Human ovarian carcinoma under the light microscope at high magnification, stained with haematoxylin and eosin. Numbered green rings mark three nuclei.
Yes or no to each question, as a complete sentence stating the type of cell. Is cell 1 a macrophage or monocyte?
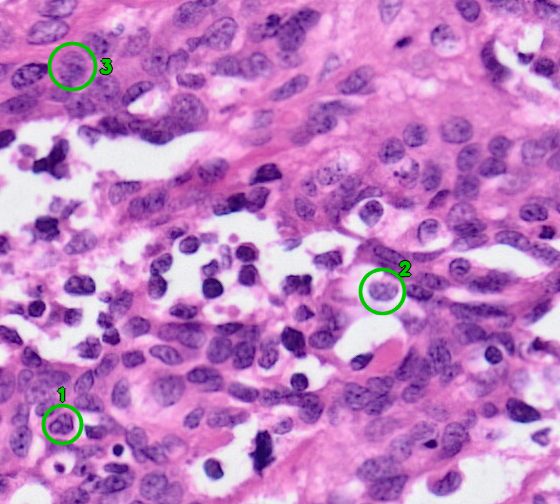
Yes, the cell to which number 1 refers is a macrophage or monocyte.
